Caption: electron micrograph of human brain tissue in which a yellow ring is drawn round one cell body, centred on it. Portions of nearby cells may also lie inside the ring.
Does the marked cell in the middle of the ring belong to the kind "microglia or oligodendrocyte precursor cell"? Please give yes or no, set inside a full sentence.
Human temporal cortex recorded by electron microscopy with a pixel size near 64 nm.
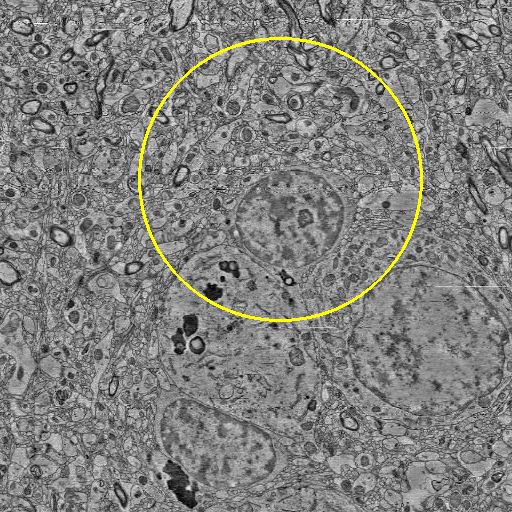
No, the marked cell that the ring is centred on in the picture is of another kind.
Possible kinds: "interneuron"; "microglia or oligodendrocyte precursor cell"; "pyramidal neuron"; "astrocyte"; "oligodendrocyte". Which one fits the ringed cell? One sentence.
This picture has an oligodendrocyte at the centre of its ring.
